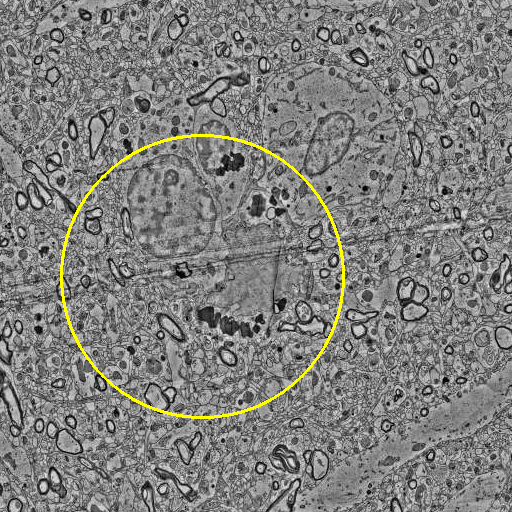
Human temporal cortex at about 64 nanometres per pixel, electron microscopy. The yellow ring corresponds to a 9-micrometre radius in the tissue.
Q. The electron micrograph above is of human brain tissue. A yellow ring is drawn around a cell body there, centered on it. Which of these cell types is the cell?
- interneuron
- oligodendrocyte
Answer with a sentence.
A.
The cell under the ring's center is an oligodendrocyte.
